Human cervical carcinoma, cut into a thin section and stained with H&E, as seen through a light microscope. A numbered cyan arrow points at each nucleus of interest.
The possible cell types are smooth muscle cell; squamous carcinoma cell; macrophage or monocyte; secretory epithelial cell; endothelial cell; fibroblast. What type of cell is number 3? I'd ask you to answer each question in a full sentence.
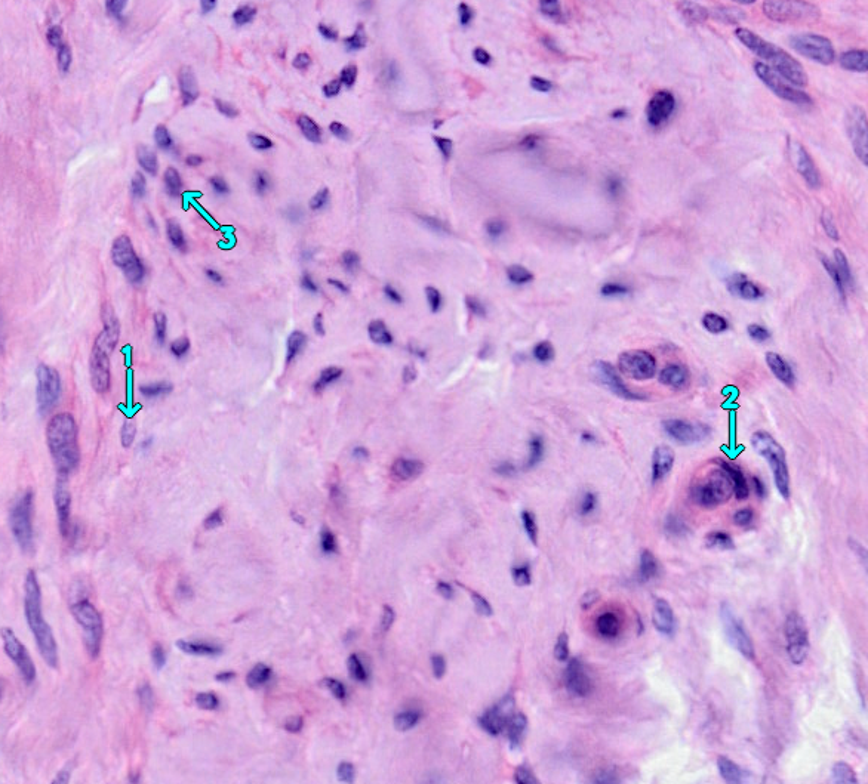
Among the marked nuclei, number 3 belongs to a smooth muscle cell.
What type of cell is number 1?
Number 1 is placed on a smooth muscle cell here.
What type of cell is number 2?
Marked with the number 2, this cell is an endothelial cell.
